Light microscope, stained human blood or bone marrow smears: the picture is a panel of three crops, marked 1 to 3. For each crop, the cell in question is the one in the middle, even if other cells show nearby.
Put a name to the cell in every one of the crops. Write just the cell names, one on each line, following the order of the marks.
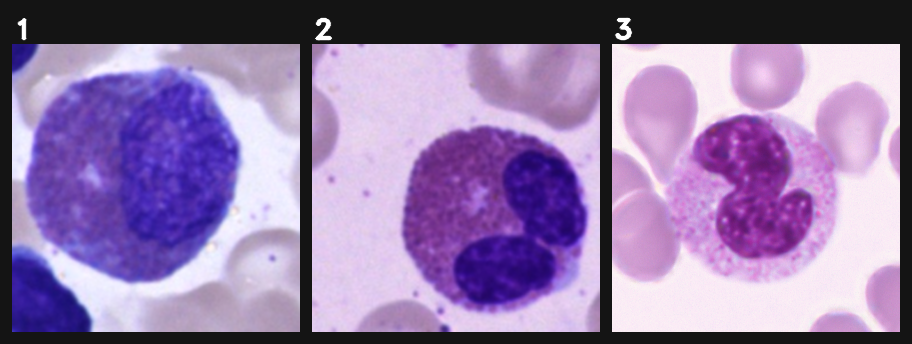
eosinophil
eosinophil
band neutrophil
